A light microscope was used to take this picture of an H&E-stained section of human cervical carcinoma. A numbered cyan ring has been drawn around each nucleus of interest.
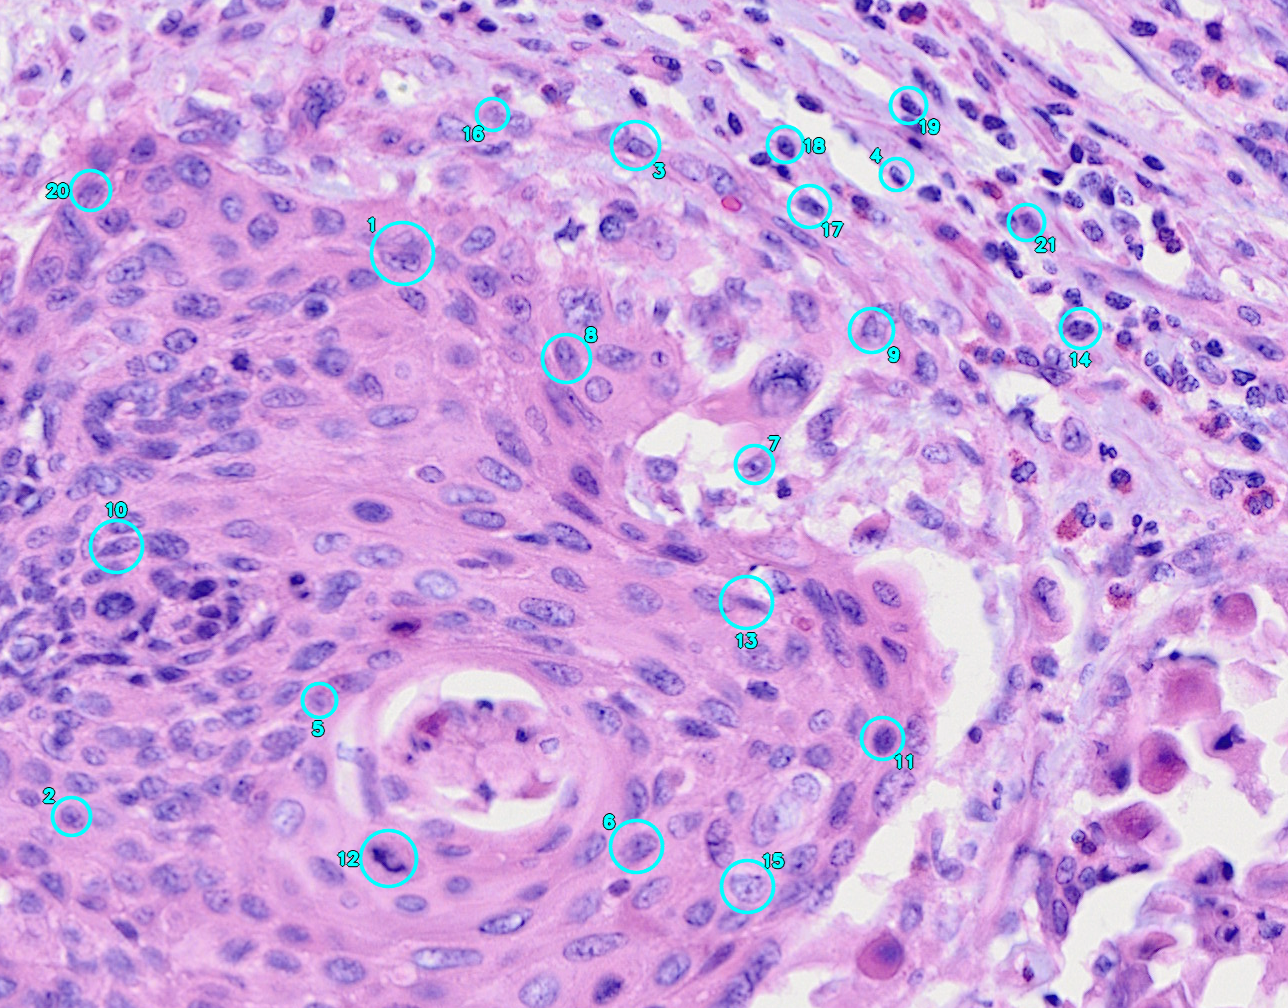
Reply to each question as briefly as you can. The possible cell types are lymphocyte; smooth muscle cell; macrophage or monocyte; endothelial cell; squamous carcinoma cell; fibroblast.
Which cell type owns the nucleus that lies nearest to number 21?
lymphocyte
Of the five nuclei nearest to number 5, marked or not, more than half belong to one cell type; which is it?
squamous carcinoma cell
